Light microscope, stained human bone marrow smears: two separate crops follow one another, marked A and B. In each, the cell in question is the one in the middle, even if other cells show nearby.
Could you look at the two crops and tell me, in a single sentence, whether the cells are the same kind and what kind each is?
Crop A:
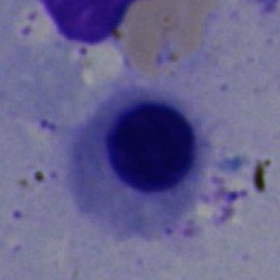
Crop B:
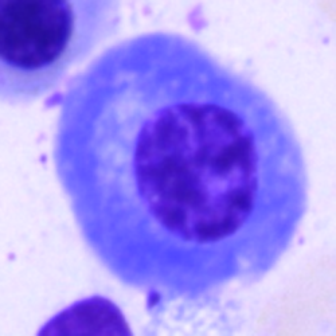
No, crop A shows a normoblast, and the cell in crop B is a plasma cell.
